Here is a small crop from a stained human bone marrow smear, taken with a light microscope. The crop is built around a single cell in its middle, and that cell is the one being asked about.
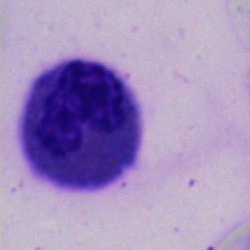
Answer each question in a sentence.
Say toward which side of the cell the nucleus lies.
It is shifted toward the top of the cell.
